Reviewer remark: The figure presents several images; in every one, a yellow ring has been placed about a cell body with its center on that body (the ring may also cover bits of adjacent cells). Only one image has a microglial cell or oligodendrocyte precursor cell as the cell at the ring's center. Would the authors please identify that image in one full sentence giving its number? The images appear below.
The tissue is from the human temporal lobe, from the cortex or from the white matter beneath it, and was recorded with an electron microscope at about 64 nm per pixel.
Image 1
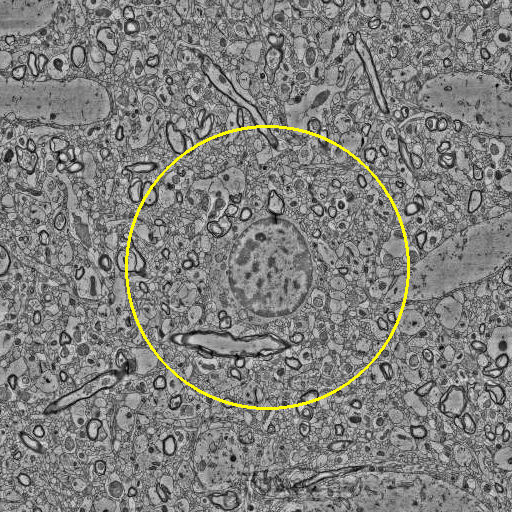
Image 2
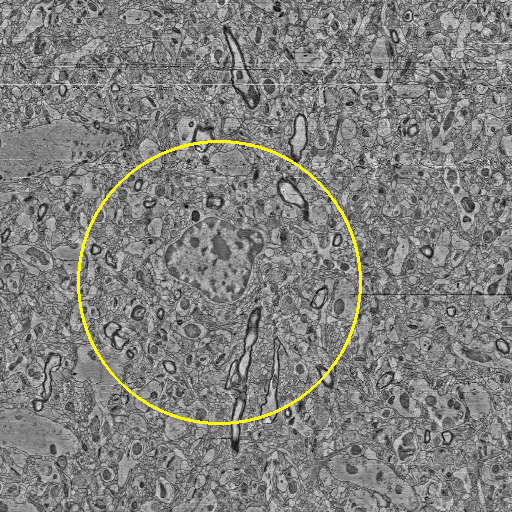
The ring's central cell in image 2 is the one the question describes.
